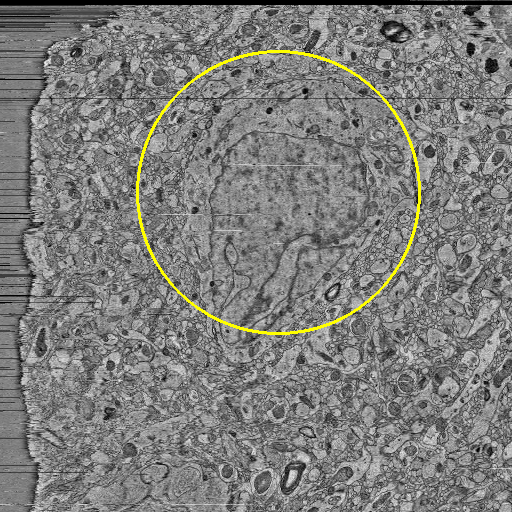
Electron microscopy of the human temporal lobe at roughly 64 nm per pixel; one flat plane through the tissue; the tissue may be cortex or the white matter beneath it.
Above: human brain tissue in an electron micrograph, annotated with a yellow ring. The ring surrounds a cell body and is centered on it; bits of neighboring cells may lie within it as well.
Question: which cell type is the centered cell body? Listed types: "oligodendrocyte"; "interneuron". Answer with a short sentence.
The centered cell body is an interneuron.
